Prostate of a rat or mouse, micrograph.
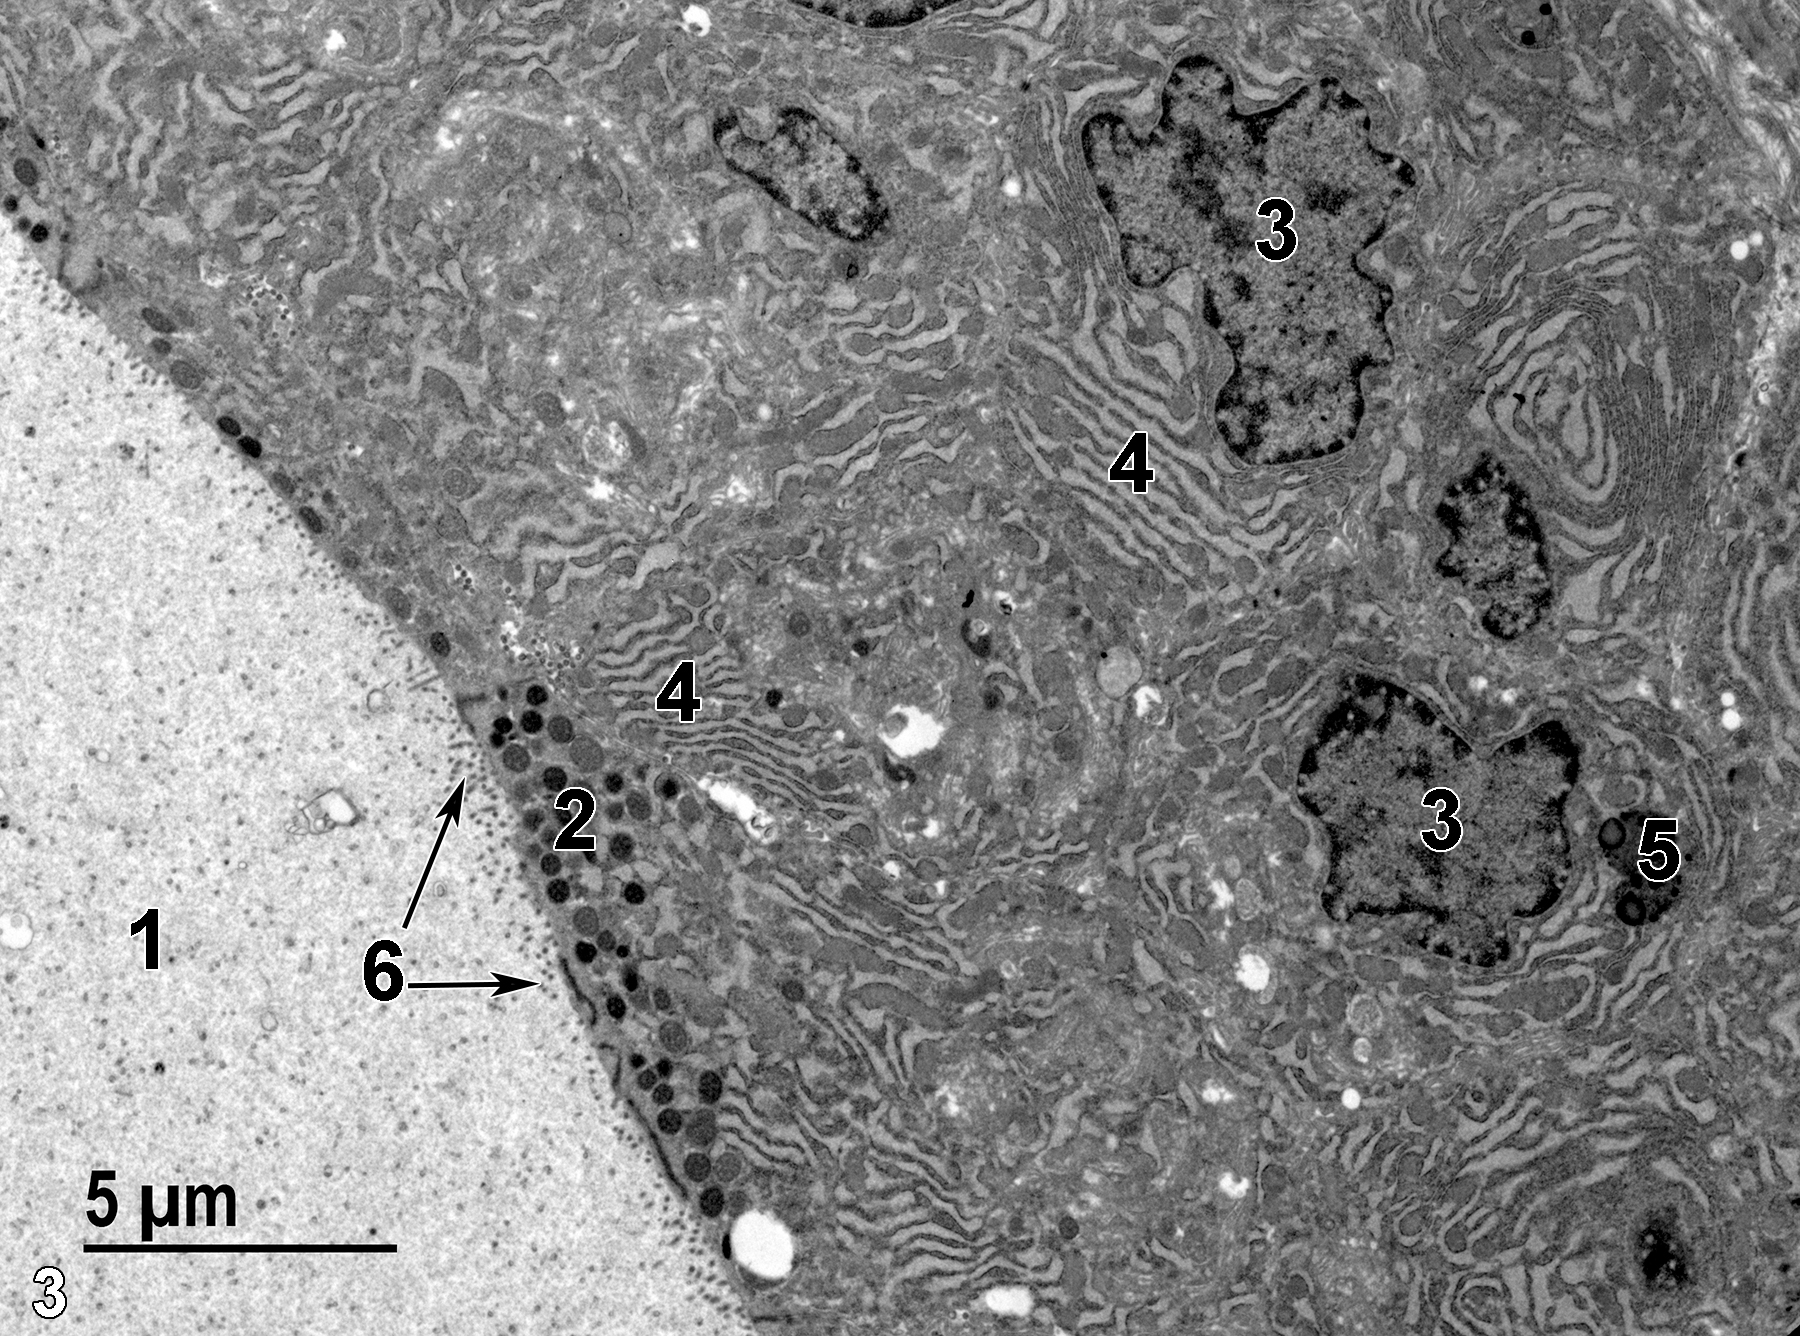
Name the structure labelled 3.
At 3: basal nuclei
